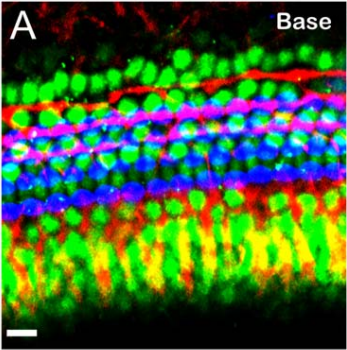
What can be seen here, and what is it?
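This is a surface view of the organ of Corti showing hair cells and supporting cells in an orderly pattern. Blue hair cells form one inner row and three outer rows that run in parallel along the length of the epithelium. Green round nuclei of supporting cells lie in regular rows between and beside the hair cell rows, and fill the flanking regions. Red nerve fibers enter as radial strands from the lower side, where they overlap the green cells and appear yellow, and then run as straight, parallel spiral bands along the rows, lying close to the hair cells.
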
